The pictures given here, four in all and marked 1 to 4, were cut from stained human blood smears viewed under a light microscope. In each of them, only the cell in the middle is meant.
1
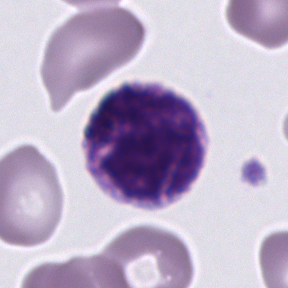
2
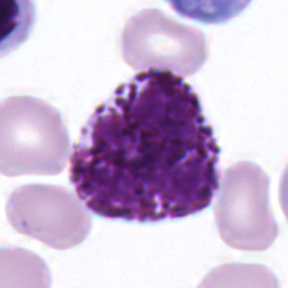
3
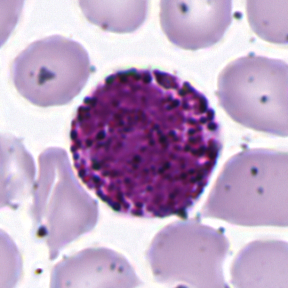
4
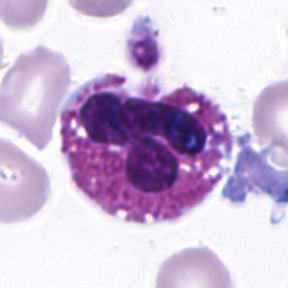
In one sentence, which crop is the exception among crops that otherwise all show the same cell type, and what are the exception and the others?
Crop 4, showing an eosinophil, is the exception; the others all show basophils.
